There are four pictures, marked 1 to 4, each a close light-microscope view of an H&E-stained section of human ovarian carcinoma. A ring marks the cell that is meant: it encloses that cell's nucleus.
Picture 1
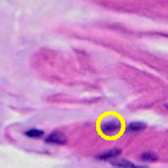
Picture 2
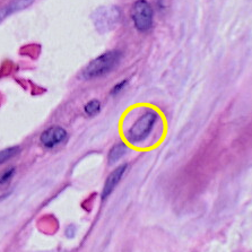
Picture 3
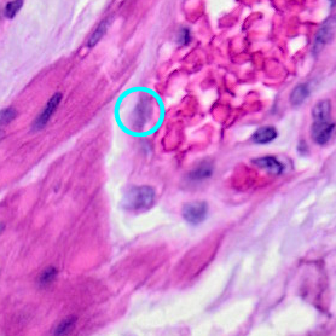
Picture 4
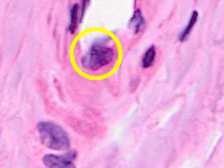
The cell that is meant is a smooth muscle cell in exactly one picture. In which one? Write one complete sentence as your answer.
The cell in picture 1 is the smooth muscle cell.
